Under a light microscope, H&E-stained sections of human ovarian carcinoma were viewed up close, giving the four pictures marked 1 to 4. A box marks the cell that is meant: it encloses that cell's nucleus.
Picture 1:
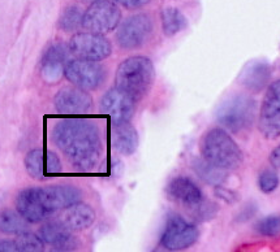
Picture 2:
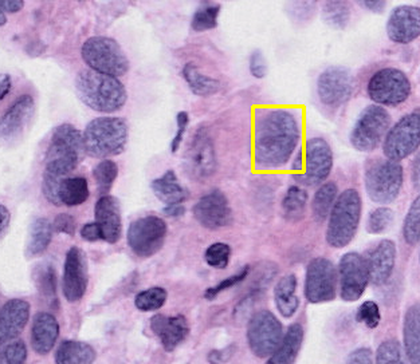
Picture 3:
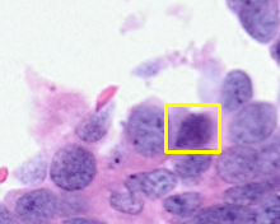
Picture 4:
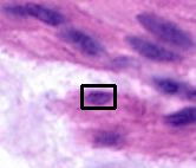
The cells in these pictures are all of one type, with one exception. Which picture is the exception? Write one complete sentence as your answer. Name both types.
Picture 4 is the odd one out: it shows a smooth muscle cell, while the others show carcinoma cells.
